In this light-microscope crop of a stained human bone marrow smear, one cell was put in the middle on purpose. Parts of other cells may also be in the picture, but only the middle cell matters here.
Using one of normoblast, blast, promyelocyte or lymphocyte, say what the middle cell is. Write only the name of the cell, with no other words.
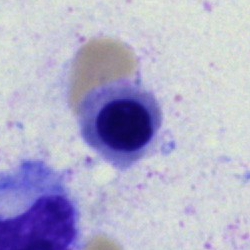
normoblast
